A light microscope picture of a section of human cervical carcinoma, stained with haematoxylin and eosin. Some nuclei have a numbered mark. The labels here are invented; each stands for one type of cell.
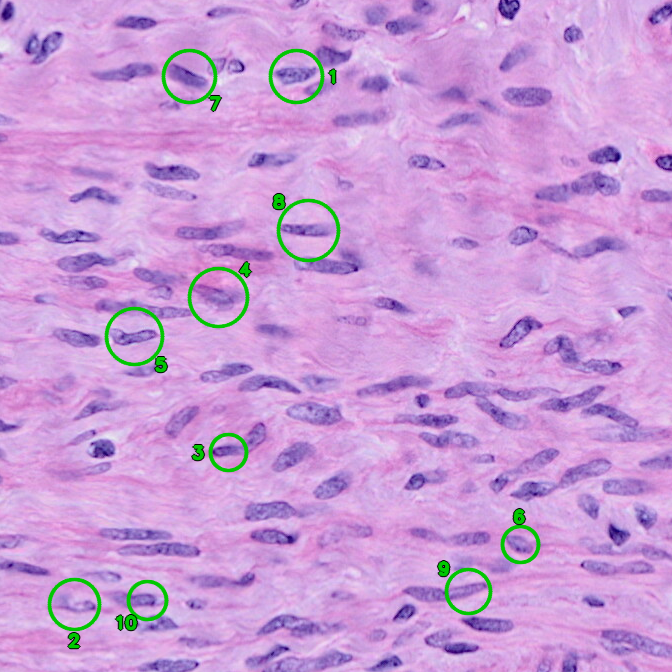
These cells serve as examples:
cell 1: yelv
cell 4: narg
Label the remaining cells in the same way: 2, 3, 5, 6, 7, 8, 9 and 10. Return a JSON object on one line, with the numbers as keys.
{"2": "narg", "3": "narg", "5": "yelv", "6": "narg", "7": "yelv", "8": "yelv", "9": "narg", "10": "narg"}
